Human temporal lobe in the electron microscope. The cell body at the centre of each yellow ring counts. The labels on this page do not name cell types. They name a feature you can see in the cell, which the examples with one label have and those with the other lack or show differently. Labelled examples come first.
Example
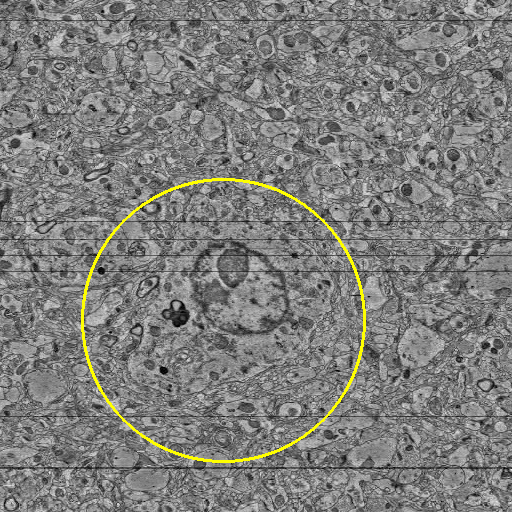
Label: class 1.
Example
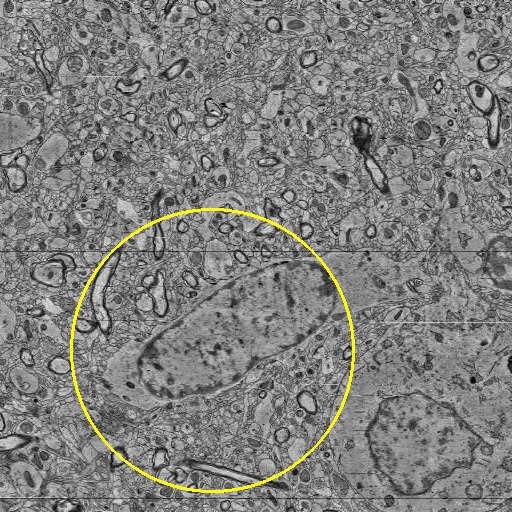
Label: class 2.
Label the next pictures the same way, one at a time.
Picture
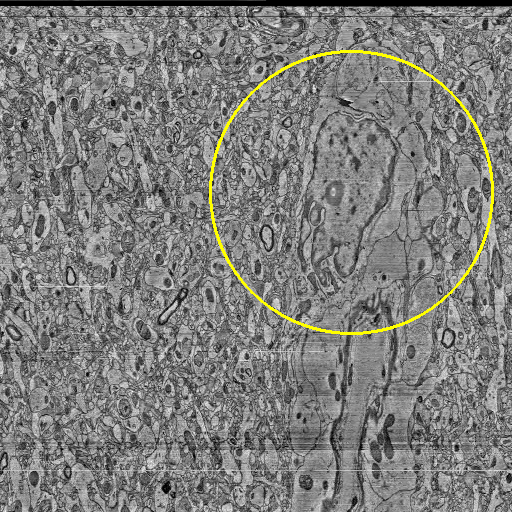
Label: class 1.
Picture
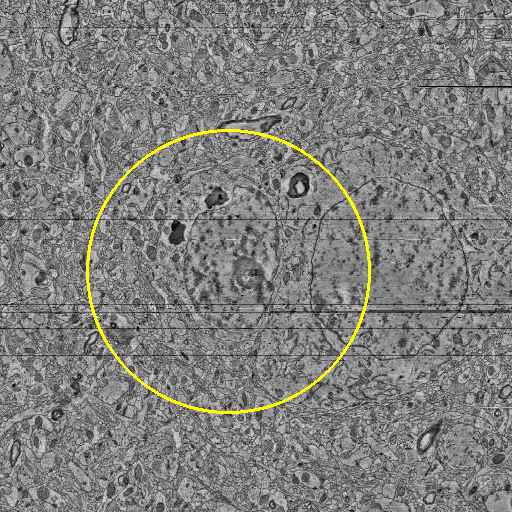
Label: class 1.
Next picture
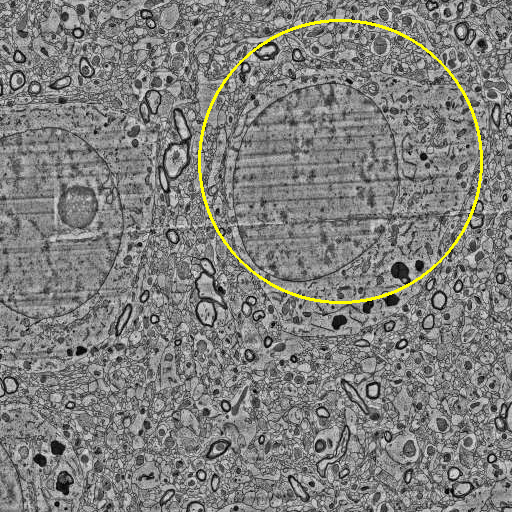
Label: class 2.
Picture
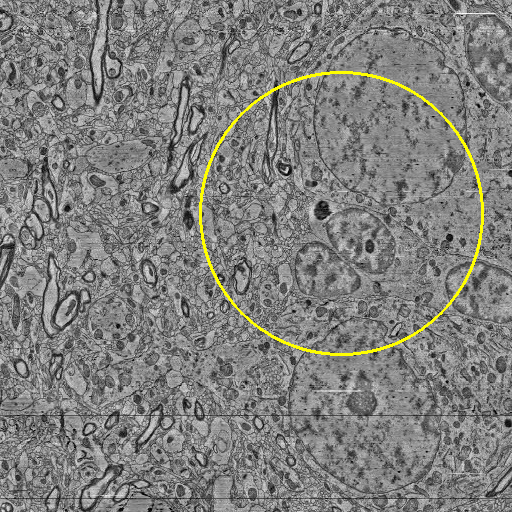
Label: class 1.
